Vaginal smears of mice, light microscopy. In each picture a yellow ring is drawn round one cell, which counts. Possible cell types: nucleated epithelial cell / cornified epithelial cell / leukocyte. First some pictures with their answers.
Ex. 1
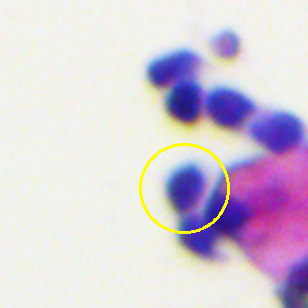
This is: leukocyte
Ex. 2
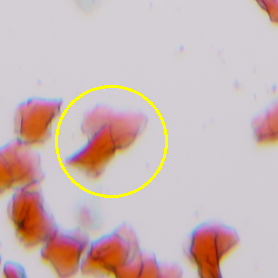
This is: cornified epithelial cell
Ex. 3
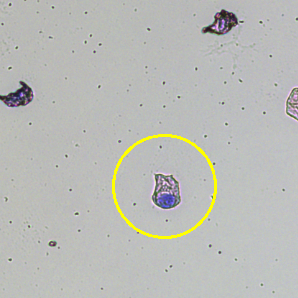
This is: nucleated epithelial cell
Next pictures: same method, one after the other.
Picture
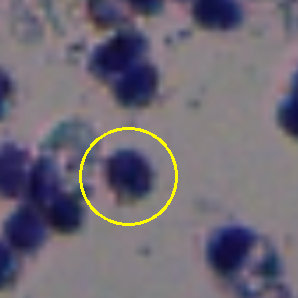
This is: leukocyte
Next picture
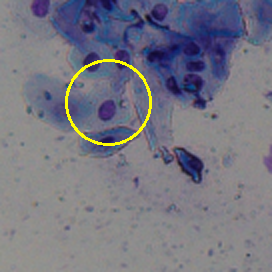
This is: nucleated epithelial cell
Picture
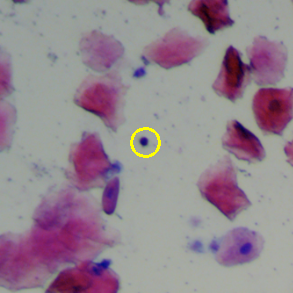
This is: leukocyte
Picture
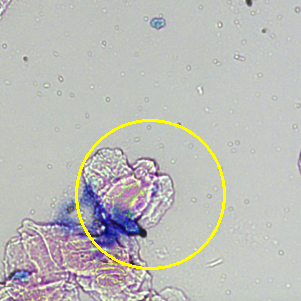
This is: cornified epithelial cell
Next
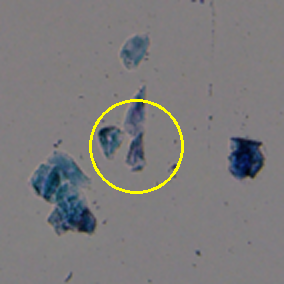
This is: cornified epithelial cell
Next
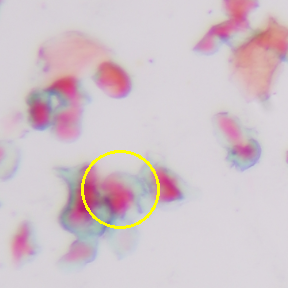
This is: nucleated epithelial cell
